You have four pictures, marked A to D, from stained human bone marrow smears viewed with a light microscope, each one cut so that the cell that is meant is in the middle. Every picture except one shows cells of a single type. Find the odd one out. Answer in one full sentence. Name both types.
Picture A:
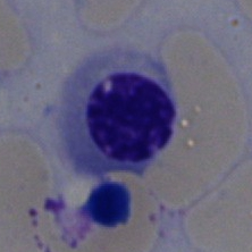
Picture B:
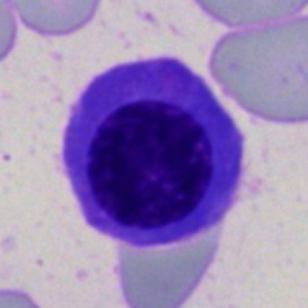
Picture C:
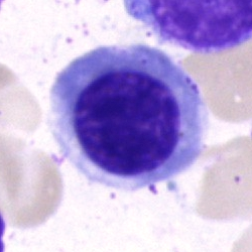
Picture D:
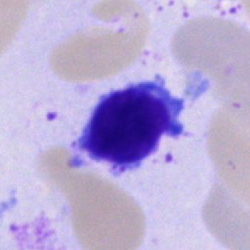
Picture D differs, because its cell is a lymphocyte and the rest are erythroblasts.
